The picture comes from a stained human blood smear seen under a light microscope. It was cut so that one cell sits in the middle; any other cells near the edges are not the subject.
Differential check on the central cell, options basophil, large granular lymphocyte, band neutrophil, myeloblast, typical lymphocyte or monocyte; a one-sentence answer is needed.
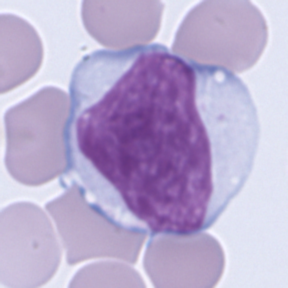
In the central position of this crop, the cell is a myeloblast.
